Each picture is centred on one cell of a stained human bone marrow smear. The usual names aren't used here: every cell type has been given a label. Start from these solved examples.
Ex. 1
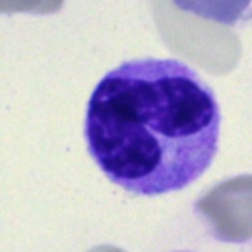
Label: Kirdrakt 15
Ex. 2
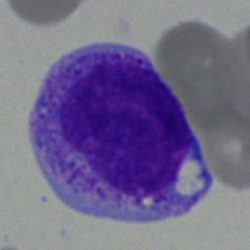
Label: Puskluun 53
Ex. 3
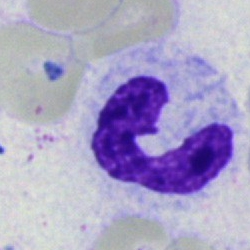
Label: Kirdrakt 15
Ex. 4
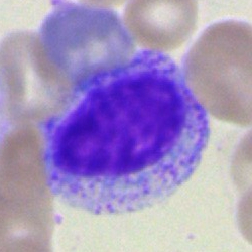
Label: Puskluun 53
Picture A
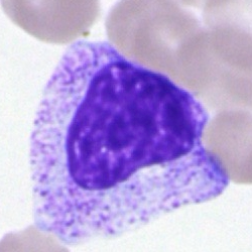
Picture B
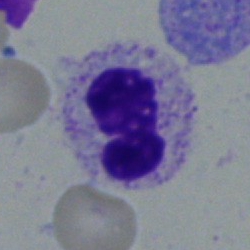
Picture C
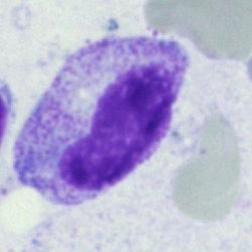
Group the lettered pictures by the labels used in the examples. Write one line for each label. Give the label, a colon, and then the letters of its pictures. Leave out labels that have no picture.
Kirdrakt 15: B, C
Puskluun 53: A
